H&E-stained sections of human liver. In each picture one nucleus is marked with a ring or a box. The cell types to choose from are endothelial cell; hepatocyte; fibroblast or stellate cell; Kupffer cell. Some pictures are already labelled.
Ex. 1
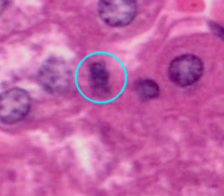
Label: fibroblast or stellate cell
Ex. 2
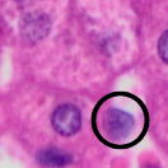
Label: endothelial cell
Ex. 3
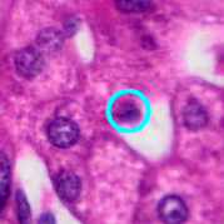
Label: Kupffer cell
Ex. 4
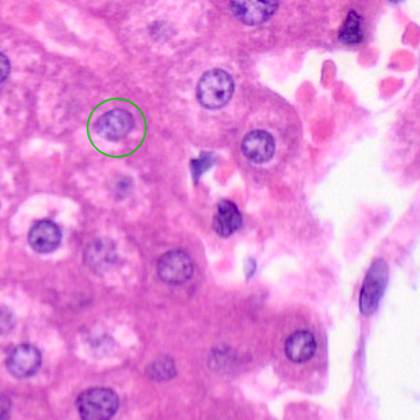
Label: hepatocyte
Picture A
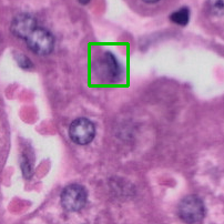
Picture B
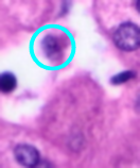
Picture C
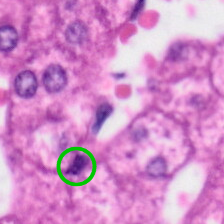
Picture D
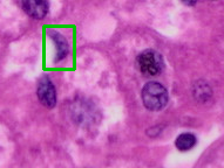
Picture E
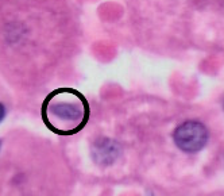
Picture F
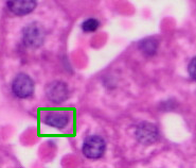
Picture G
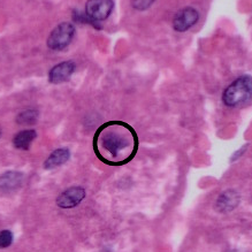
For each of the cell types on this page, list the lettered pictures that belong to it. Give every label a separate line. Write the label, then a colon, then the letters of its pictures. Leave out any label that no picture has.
endothelial cell: A, D, G
fibroblast or stellate cell: C, F
Kupffer cell: B, E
